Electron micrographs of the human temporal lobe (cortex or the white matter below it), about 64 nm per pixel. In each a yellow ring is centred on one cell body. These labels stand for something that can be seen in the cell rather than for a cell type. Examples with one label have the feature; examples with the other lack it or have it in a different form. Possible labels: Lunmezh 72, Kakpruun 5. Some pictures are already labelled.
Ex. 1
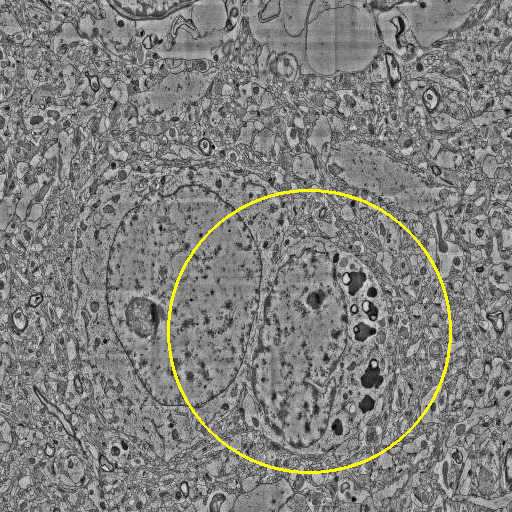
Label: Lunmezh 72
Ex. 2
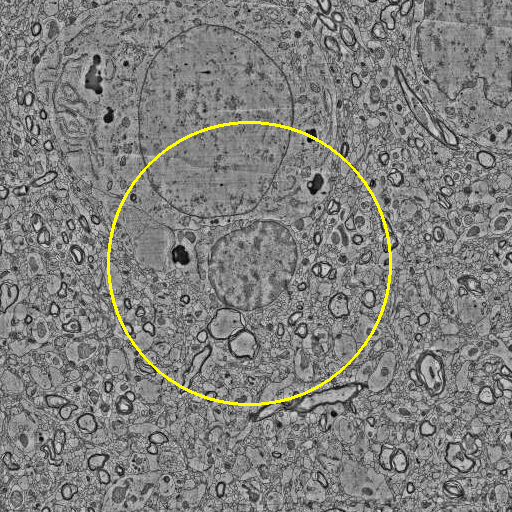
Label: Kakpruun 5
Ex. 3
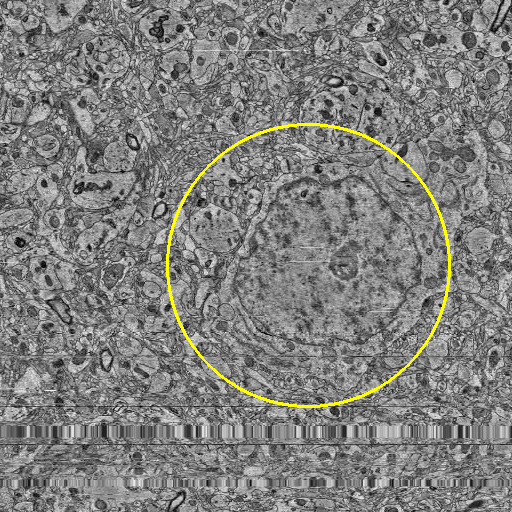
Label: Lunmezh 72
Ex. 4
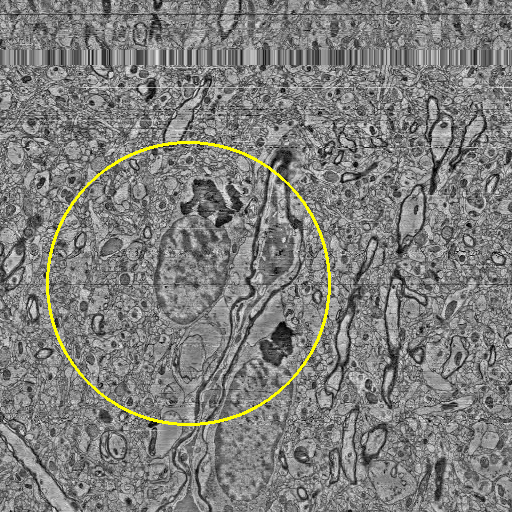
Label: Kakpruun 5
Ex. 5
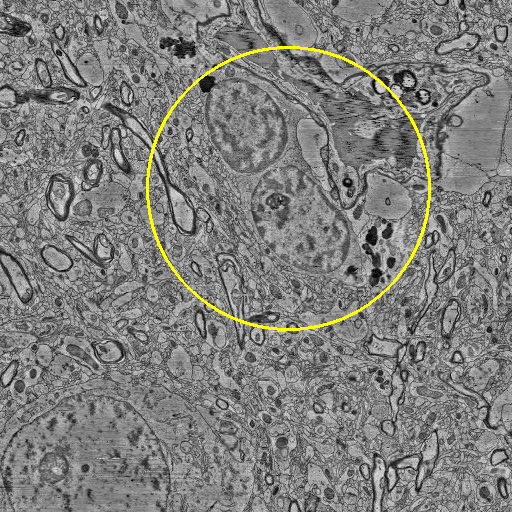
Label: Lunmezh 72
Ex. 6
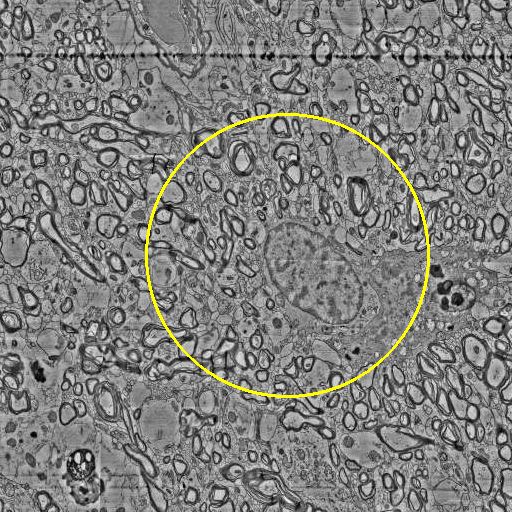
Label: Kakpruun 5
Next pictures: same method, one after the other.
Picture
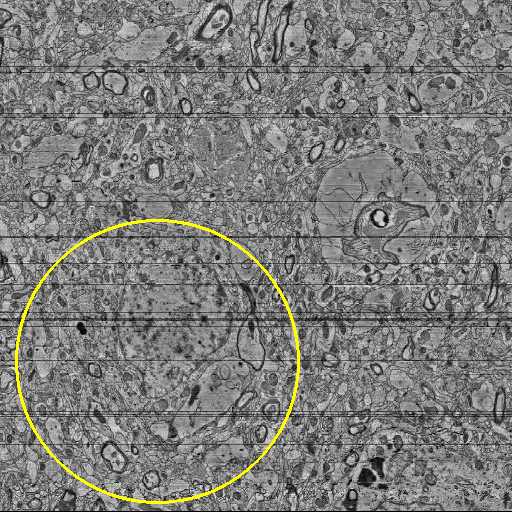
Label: Kakpruun 5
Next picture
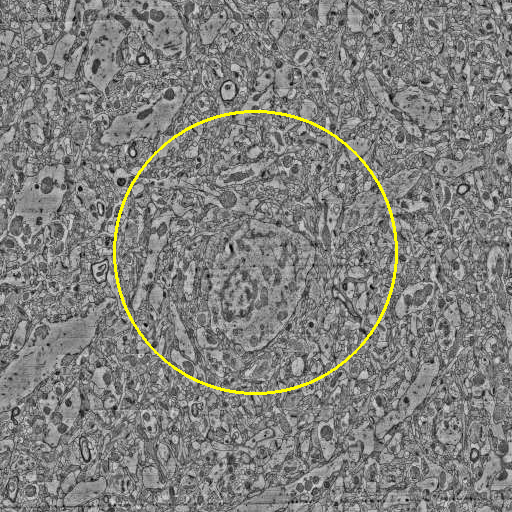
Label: Kakpruun 5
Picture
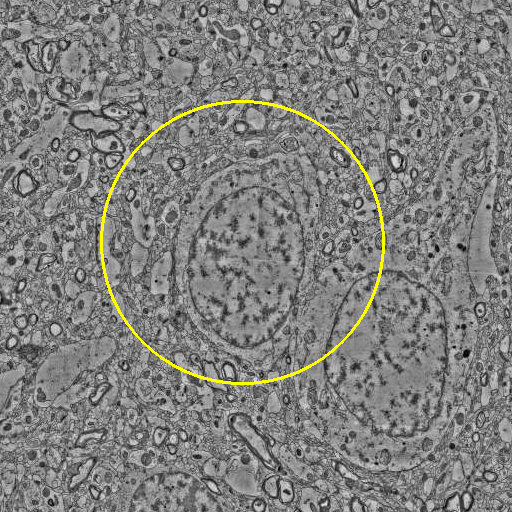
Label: Kakpruun 5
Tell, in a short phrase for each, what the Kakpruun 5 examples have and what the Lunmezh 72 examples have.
In Kakpruun 5: no nucleolus seen. In Lunmezh 72: nucleolus seen.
